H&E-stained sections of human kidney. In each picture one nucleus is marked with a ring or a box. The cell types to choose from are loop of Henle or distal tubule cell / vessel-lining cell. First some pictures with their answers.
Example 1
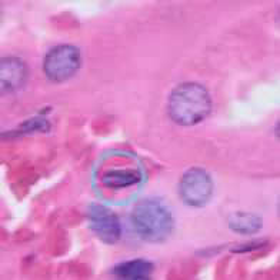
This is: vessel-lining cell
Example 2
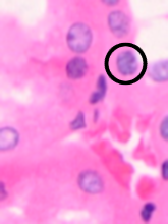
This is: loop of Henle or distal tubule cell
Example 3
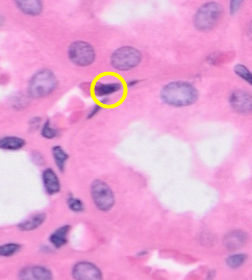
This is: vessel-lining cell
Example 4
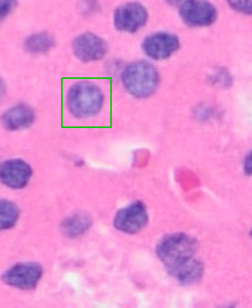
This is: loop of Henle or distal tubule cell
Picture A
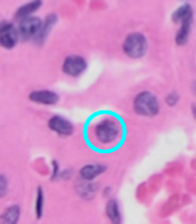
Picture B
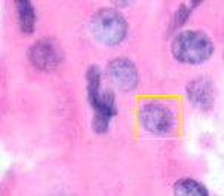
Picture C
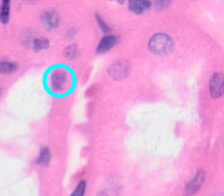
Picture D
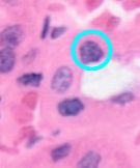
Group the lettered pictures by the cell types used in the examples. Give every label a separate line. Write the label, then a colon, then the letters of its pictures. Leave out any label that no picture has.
loop of Henle or distal tubule cell: A, B, C, D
